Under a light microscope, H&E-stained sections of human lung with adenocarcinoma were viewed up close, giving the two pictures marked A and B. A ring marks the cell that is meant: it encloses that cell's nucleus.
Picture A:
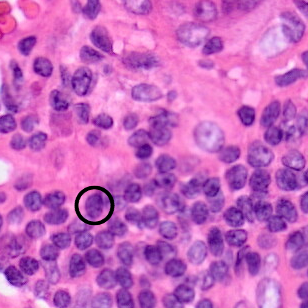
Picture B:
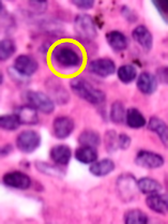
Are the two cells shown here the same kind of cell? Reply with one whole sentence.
No. Picture A shows a lymphocyte, but picture B shows a plasma cell.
